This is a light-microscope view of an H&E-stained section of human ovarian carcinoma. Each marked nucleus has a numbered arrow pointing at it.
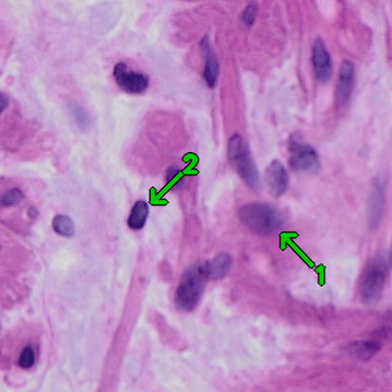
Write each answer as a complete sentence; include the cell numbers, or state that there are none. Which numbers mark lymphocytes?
Cell 2 represents a lymphocyte, and no other numbered cell does.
